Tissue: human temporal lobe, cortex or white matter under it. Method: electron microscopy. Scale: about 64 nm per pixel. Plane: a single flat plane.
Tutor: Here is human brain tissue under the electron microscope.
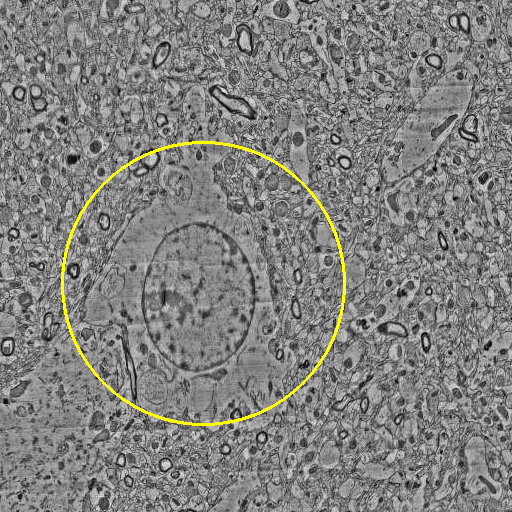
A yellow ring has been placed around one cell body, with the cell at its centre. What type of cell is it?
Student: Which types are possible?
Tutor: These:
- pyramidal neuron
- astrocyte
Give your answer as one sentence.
What the ring picks out here is an astrocyte.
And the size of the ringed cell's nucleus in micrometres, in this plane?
About 9 micrometres by about 7 micrometres in this plane.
